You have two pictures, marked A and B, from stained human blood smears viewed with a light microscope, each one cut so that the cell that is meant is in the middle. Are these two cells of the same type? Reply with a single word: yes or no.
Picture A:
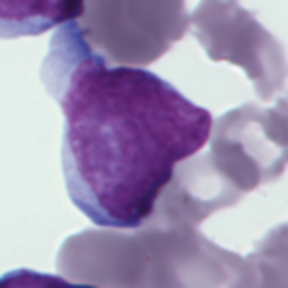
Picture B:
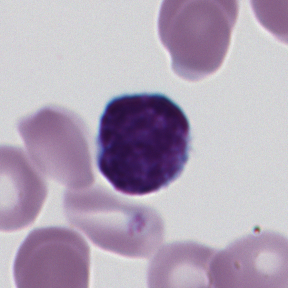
no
